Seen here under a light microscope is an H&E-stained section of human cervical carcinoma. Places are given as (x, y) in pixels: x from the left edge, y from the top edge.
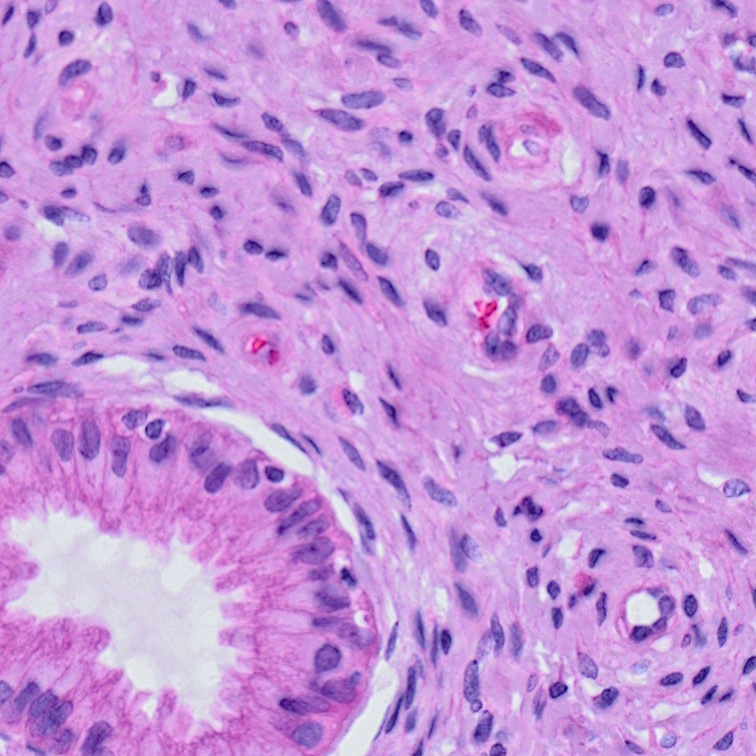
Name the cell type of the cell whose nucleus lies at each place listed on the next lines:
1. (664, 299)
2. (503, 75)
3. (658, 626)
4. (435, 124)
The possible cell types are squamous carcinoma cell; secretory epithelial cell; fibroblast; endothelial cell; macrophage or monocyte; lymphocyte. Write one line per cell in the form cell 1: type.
cell 1: fibroblast
cell 2: fibroblast
cell 3: endothelial cell
cell 4: fibroblast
